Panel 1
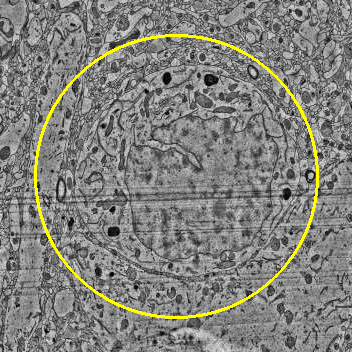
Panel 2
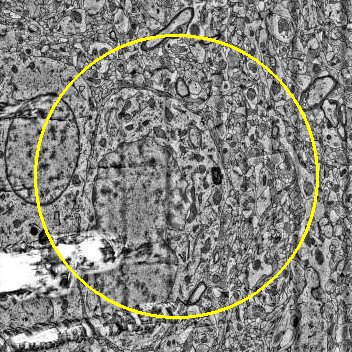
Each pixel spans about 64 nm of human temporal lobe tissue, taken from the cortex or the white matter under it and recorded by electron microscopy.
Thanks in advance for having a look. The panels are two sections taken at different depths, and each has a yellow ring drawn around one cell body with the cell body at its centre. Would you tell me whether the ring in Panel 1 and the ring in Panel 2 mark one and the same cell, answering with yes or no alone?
no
